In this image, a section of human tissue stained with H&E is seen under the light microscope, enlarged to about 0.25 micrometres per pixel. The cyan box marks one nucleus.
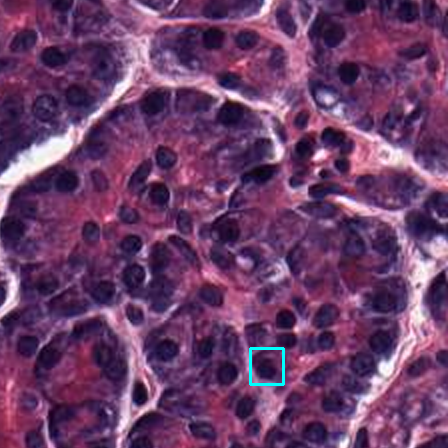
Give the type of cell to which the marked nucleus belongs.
pancreatic acinar cell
